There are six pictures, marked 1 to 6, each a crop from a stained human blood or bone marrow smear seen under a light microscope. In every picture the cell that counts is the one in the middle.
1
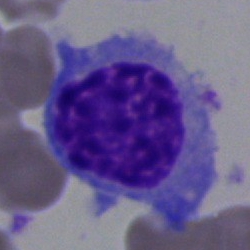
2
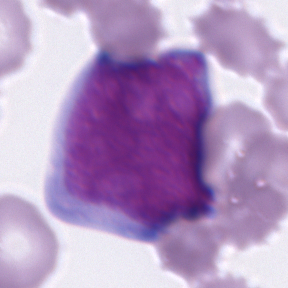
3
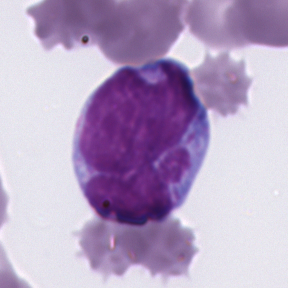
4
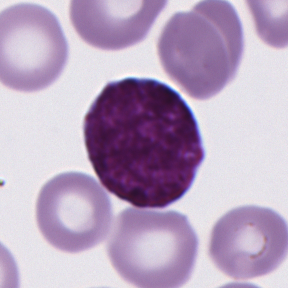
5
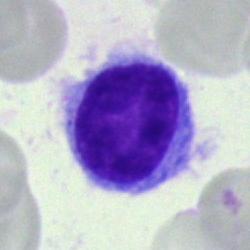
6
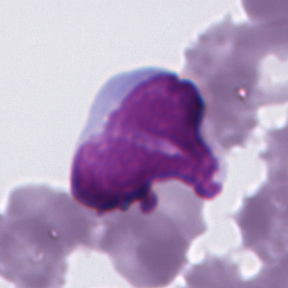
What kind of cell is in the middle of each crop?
1: hairy cell
2: blast
3: blast
4: blast
5: hairy cell
6: blast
